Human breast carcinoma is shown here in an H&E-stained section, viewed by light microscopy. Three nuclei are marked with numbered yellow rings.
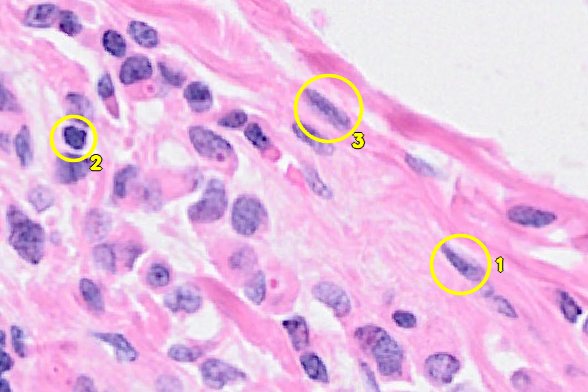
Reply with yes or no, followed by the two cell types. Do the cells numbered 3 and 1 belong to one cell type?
Yes, in this tissue section, cells 3 and 1 are both fibroblasts.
